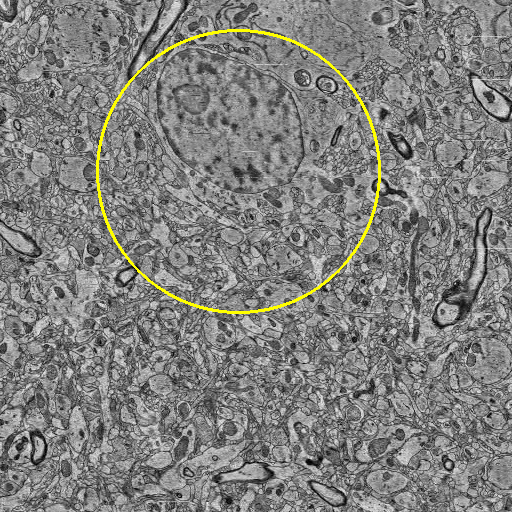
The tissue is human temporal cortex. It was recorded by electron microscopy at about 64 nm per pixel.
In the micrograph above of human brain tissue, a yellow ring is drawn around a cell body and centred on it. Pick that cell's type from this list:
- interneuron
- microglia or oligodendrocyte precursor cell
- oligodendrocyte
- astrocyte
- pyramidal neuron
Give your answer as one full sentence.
Going by the list, an astrocyte is the cell on which the yellow ring is centred.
